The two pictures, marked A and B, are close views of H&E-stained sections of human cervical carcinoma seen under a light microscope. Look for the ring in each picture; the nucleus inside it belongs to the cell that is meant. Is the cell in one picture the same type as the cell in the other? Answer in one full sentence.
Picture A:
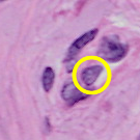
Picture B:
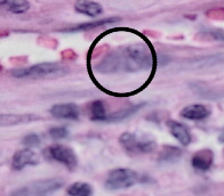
Yes, the two pictures both show endothelial cells.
